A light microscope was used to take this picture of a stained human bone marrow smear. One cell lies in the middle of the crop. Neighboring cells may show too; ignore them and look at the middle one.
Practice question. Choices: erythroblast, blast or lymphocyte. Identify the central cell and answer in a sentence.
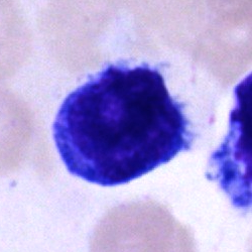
In this smear crop, the middle cell is a blast.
